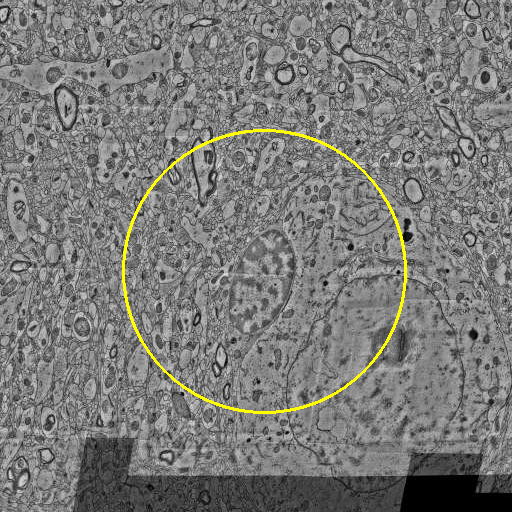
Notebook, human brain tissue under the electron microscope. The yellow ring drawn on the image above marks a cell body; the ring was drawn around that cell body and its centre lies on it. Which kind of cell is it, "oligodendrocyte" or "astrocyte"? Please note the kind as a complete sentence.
The marked cell body is that of an oligodendrocyte.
